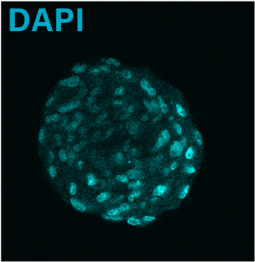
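This is a round, compact spheroid made of many densely packed cells, seen by its cell nuclei in cyan. The nuclei are small and mostly oval to rounded, and they are spread fairly evenly across the circular outline of the aggregate. Some nuclei appear brighter and more sharply outlined than others, consistent with lying at different depths within the three-dimensional cluster. The edge of the spheroid is smooth and no isolated cells lie outside it.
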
